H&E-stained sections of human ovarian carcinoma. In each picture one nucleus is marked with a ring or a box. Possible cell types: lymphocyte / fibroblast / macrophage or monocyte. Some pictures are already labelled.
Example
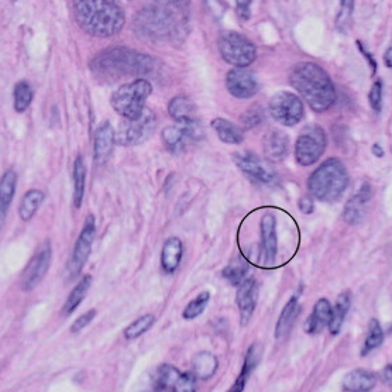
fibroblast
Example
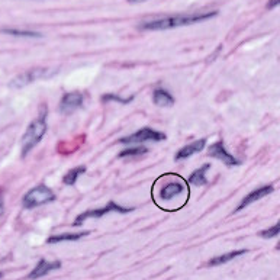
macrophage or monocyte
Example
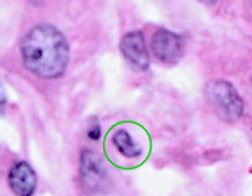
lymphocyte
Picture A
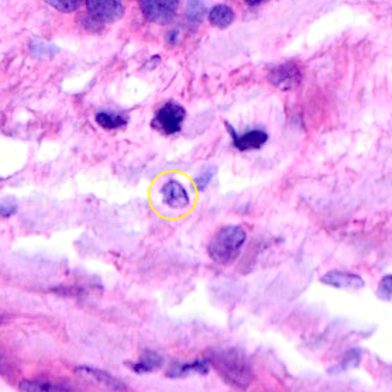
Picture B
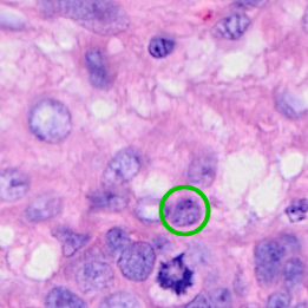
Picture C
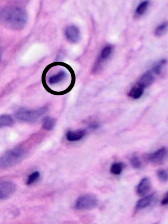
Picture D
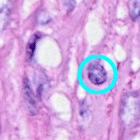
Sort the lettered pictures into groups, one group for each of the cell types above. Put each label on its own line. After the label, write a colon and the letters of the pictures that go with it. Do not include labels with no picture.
lymphocyte: A, C
macrophage or monocyte: B, D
